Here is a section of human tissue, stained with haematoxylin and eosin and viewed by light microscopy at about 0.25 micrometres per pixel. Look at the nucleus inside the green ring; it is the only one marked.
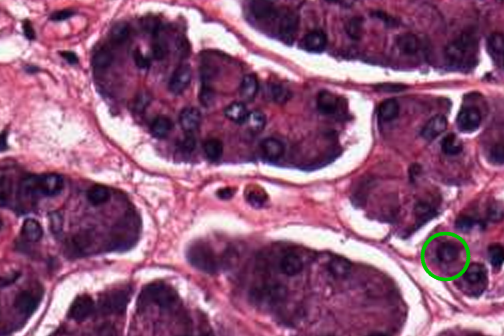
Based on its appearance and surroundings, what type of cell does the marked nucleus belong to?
pancreatic acinar cell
